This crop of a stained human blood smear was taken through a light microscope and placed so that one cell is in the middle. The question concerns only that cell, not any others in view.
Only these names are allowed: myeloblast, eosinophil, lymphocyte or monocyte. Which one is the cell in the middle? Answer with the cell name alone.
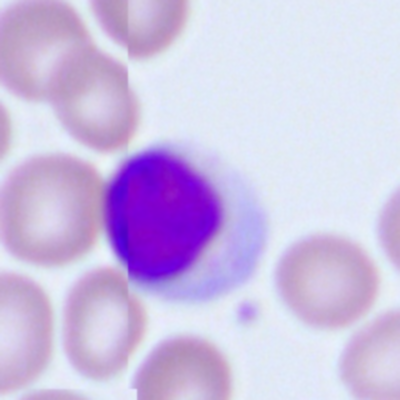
lymphocyte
